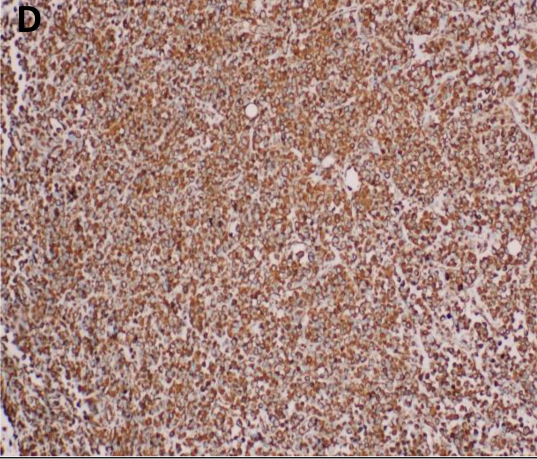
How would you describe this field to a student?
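A dense, diffuse sheet of rounded tumor cells fills the field, and nearly every cell shows strong brown cytoplasmic staining around a paler nucleus. Thin strands of stroma and a few small vessels run between the cells.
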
